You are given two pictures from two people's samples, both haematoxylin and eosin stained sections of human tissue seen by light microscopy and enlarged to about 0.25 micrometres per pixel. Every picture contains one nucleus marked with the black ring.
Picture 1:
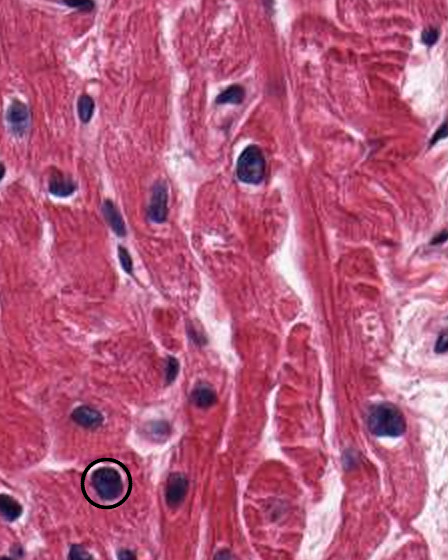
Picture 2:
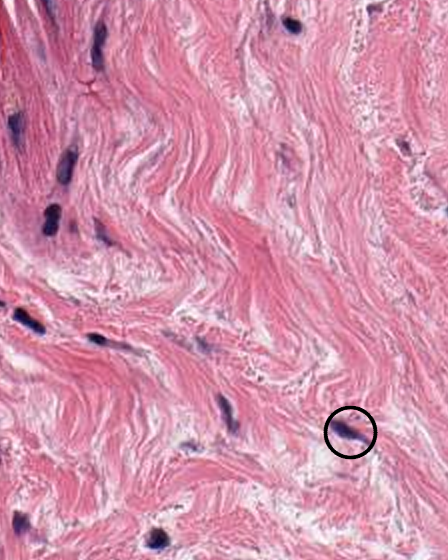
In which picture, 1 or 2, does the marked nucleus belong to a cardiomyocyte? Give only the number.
1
